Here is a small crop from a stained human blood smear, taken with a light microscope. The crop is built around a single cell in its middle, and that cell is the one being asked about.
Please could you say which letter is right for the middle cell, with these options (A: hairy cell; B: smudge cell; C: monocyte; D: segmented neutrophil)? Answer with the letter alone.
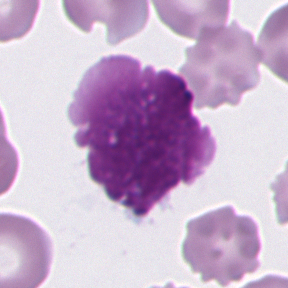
B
